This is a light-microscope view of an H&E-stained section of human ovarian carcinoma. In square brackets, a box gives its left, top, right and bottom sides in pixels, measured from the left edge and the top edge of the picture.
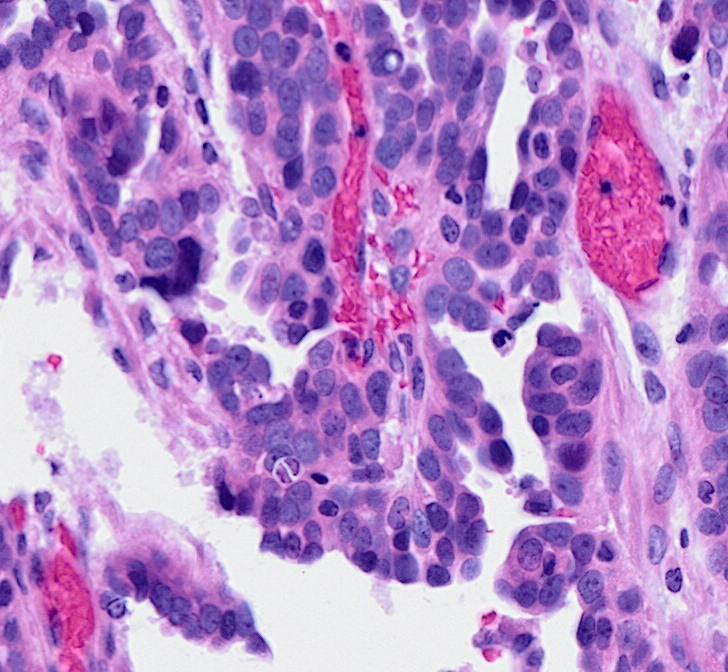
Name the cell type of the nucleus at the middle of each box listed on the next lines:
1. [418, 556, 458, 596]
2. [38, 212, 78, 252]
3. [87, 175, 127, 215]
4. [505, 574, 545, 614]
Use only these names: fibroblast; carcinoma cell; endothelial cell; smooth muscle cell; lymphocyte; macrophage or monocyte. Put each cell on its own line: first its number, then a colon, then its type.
1: carcinoma cell
2: fibroblast
3: carcinoma cell
4: carcinoma cell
